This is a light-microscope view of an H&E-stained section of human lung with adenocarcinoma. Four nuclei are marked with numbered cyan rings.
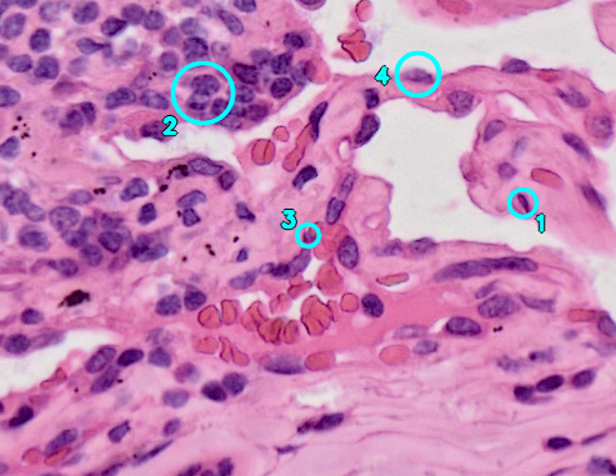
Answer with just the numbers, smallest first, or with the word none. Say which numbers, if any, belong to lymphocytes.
2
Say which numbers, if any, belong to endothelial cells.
1, 3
